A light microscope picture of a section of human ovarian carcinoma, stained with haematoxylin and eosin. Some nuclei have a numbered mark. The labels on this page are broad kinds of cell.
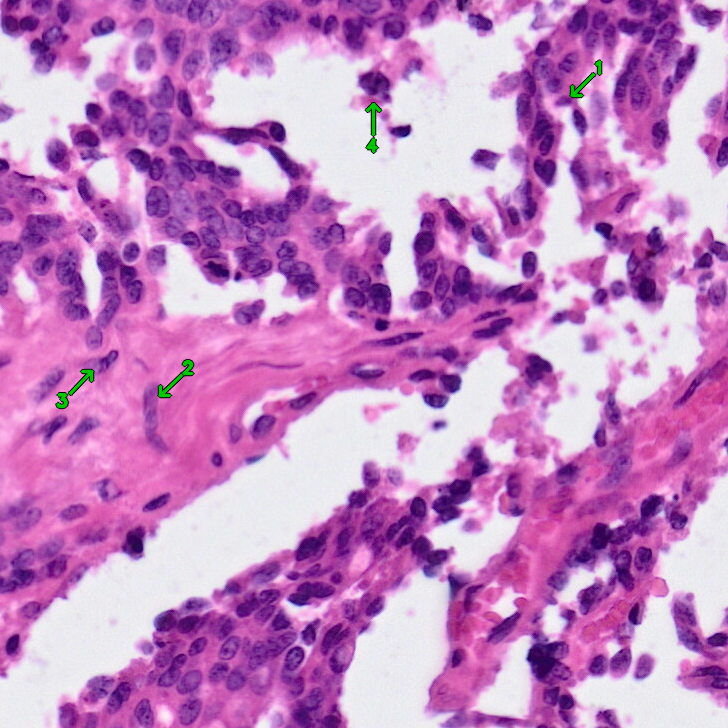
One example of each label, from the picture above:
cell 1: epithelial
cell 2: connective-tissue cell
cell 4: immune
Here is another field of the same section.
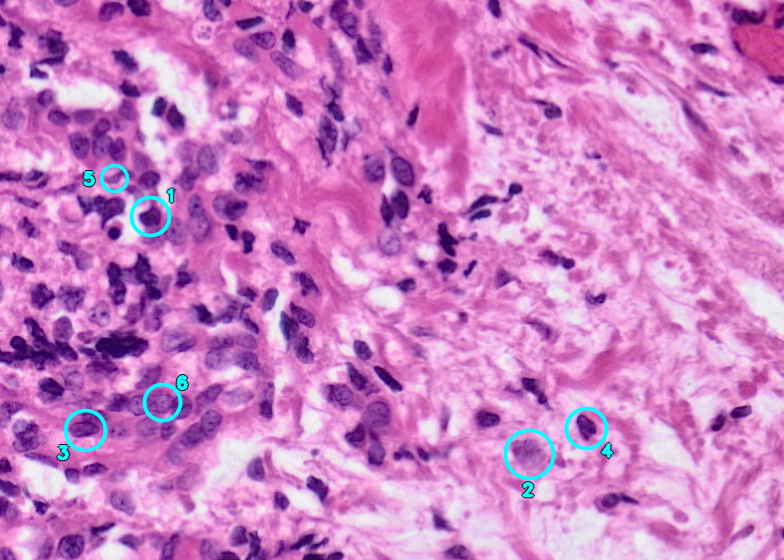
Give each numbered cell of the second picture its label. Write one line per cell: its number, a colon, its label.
1: epithelial
2: connective-tissue cell
3: epithelial
4: immune
5: epithelial
6: epithelial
